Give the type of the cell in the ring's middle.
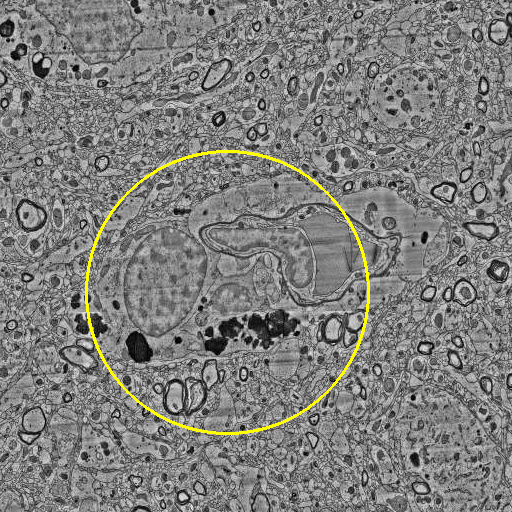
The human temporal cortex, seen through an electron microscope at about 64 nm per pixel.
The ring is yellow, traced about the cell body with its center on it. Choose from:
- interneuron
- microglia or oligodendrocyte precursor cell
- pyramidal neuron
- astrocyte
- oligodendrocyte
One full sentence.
Here, an oligodendrocyte is the cell lying at the center of the yellow ring.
